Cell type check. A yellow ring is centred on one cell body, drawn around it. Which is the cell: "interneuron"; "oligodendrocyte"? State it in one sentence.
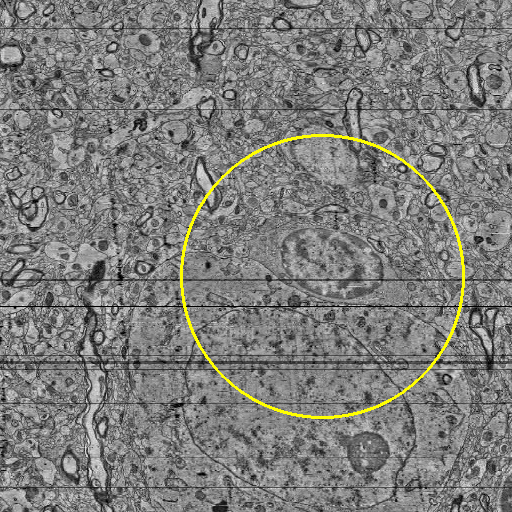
The cell body at the ring's centre belongs to an oligodendrocyte.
